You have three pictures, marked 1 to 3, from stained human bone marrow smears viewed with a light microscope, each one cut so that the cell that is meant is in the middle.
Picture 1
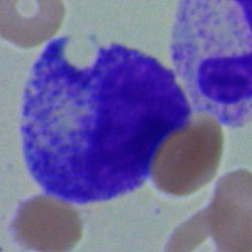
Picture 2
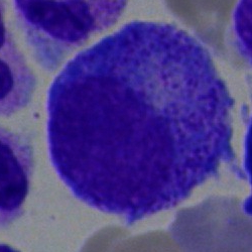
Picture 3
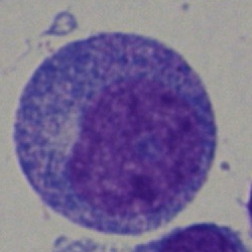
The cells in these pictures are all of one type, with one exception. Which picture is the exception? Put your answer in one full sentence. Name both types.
The others show promyelocytes, but picture 1 shows a myelocyte.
